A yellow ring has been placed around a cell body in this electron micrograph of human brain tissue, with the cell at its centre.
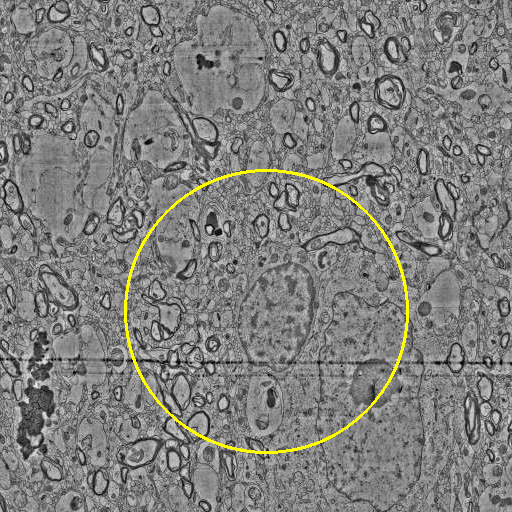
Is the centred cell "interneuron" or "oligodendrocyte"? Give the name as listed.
oligodendrocyte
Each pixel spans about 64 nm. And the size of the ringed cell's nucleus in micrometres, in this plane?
The nucleus works out at approximately 7 by 5 micrometres in this plane.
